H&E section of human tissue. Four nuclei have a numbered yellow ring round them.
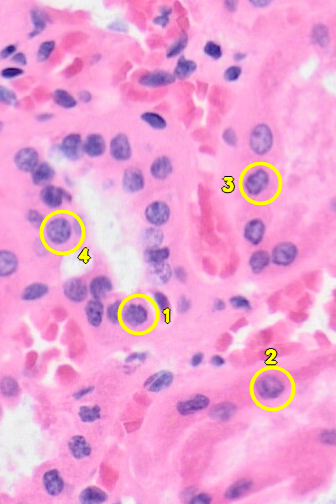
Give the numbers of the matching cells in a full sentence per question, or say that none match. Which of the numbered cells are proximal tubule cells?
Cells numbered 2 and 3 belong to the group of proximal tubule cells.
